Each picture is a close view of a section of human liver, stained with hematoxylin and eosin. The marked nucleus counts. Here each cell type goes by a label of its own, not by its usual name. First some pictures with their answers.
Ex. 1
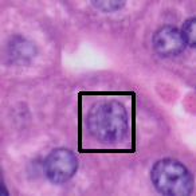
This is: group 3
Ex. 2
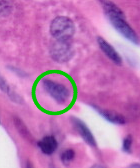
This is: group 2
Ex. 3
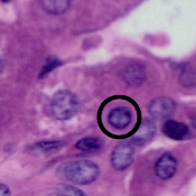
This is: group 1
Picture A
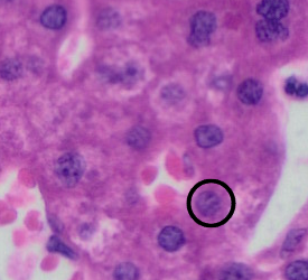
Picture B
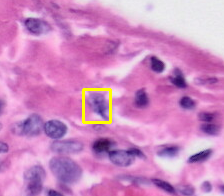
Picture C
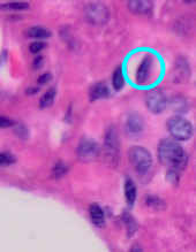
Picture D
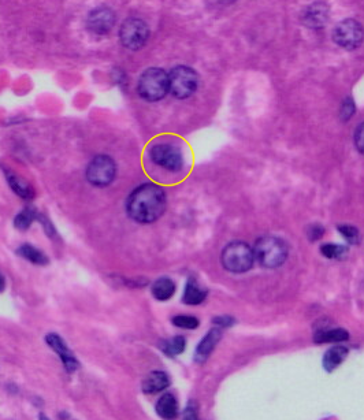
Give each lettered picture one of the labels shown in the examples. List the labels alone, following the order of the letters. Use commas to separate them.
group 3, group 2, group 2, group 2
